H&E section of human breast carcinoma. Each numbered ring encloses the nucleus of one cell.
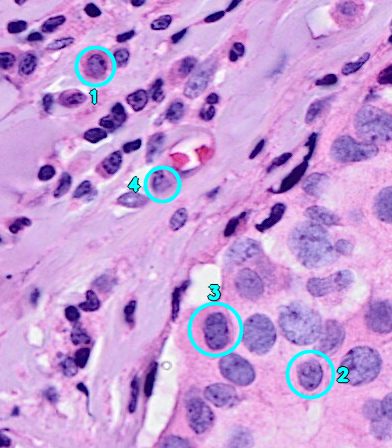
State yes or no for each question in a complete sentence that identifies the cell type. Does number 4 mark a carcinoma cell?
No, the cell identified by number 4 is an endothelial cell, not a carcinoma cell.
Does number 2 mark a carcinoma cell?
Yes, so the cell at label 2 is a carcinoma cell.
